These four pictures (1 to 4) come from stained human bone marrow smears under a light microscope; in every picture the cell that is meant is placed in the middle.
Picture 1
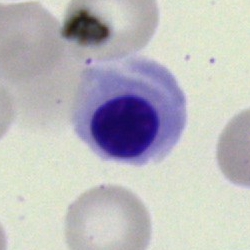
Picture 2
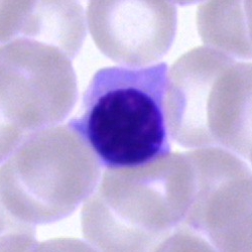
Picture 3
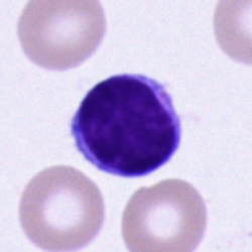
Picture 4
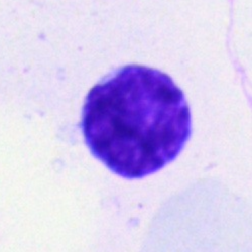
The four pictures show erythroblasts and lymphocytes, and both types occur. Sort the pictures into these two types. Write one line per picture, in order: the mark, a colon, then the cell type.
1: erythroblast
2: erythroblast
3: lymphocyte
4: lymphocyte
